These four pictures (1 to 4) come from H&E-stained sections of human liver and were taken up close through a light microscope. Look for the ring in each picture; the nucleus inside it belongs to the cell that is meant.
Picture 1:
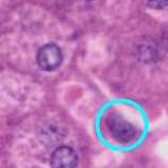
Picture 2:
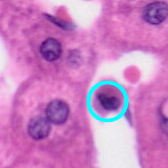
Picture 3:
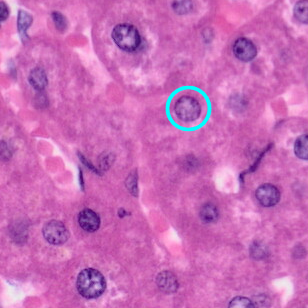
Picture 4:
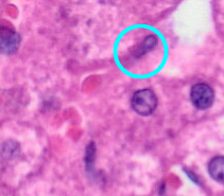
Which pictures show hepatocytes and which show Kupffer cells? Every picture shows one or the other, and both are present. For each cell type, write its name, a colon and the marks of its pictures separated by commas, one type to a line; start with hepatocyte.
hepatocyte: 3
Kupffer cell: 1, 2, 4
